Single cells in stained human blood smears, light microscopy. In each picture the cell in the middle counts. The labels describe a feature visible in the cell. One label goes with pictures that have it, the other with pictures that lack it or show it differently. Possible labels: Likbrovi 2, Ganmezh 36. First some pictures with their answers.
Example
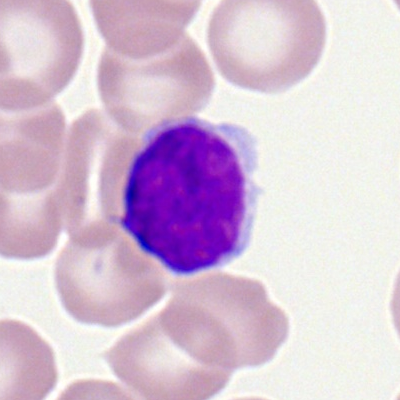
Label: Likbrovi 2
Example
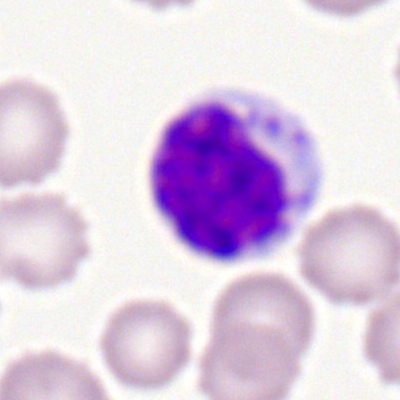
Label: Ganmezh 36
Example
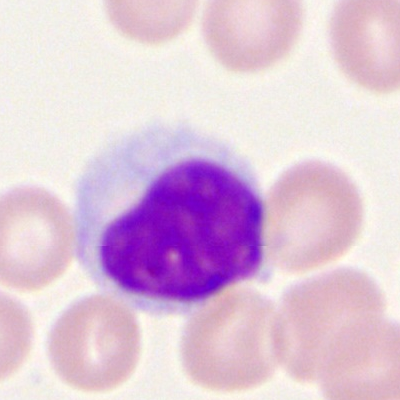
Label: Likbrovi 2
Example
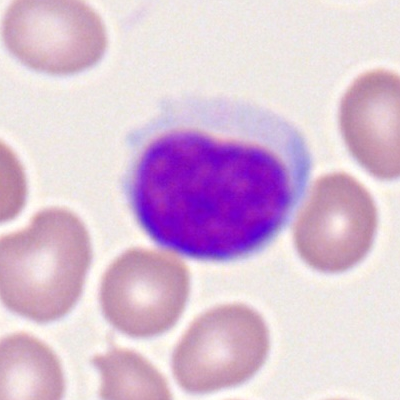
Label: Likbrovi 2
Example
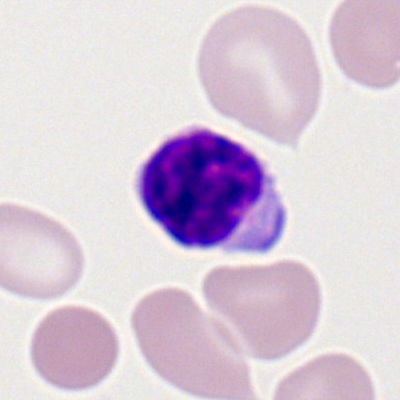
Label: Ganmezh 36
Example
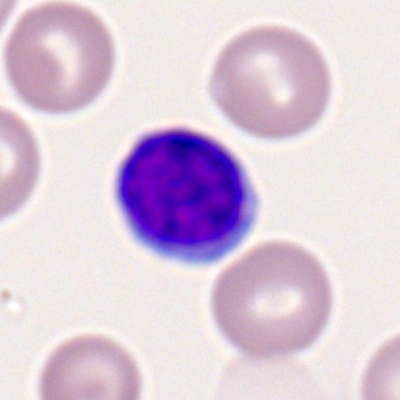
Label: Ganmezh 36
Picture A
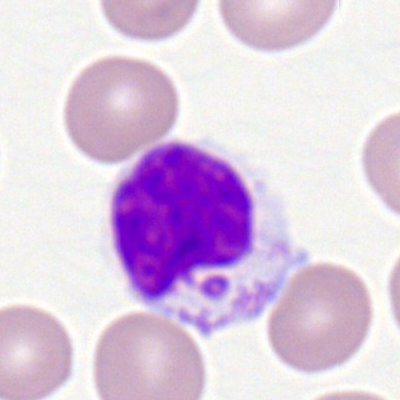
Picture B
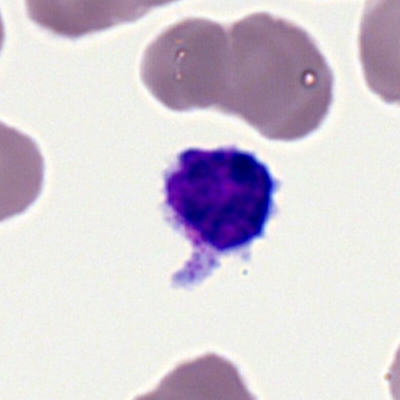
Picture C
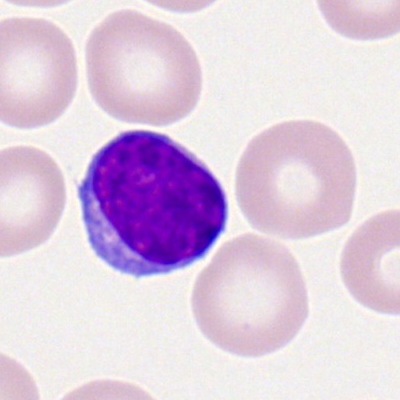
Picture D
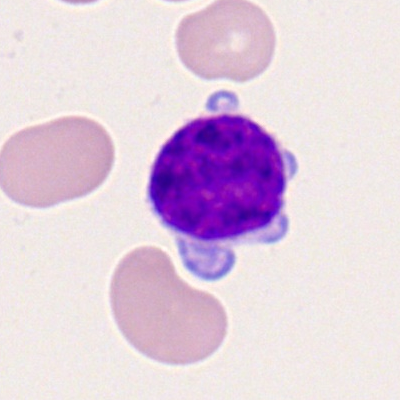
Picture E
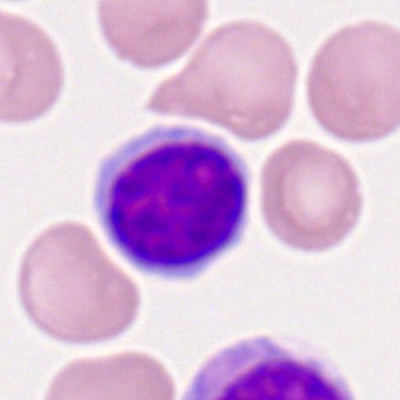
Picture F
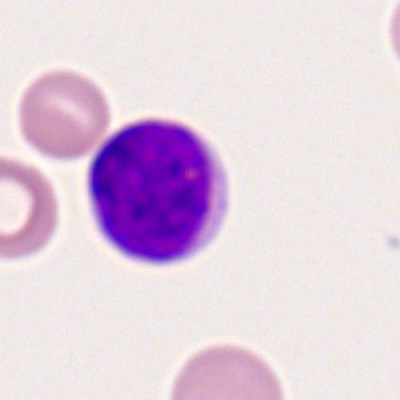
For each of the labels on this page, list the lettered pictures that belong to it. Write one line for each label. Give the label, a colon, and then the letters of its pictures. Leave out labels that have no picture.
Likbrovi 2: A, B, D
Ganmezh 36: C, E, F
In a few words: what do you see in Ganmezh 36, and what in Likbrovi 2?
Seen in Ganmezh 36: smooth outline; seen in Likbrovi 2: ragged outline or projections.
